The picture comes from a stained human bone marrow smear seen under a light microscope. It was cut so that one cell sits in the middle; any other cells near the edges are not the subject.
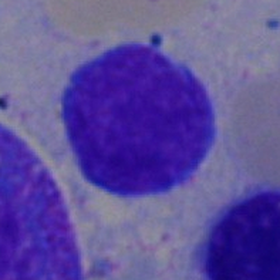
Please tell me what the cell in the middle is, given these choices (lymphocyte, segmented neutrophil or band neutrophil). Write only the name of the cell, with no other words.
lymphocyte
